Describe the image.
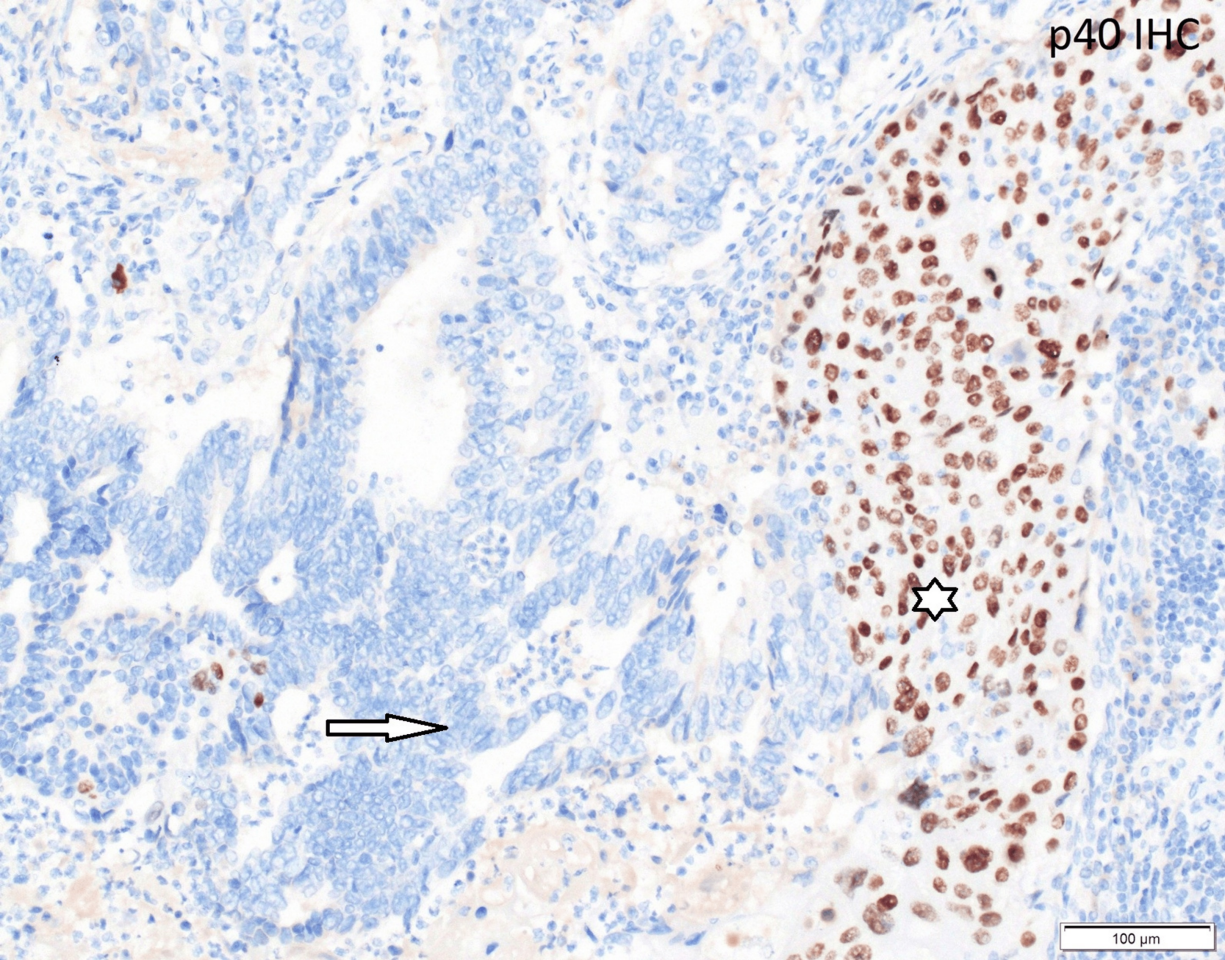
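This is a carcinoma with two intermingled parts. Over most of the field, tumour cells line elongated, branching gland-like tubules around open lumina. They are crowded columnar cells with stratified, oval nuclei, and their nuclei stay blue. To the right lies a solid nest with no lumina. It is made of larger, polygonal cells with more cytoplasm and rounder nuclei, and nearly all of those nuclei are stained brown, with varying intensity. At the far right edge there is a dense blue band of lymphocytes.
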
